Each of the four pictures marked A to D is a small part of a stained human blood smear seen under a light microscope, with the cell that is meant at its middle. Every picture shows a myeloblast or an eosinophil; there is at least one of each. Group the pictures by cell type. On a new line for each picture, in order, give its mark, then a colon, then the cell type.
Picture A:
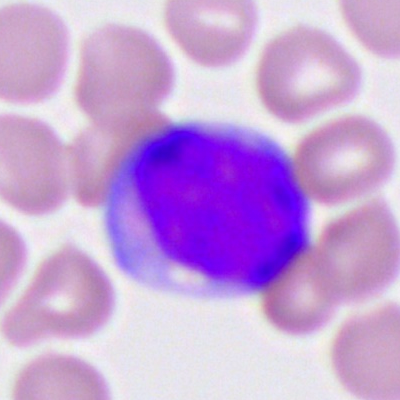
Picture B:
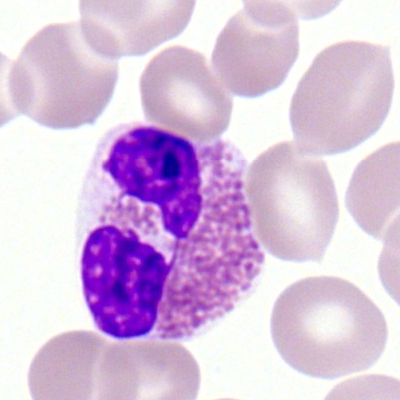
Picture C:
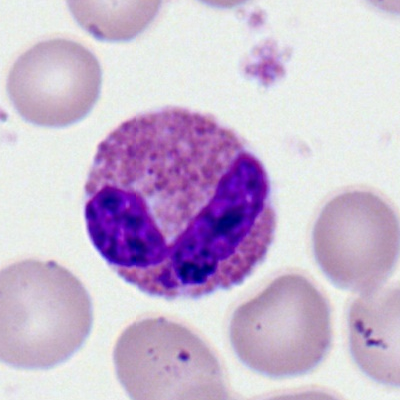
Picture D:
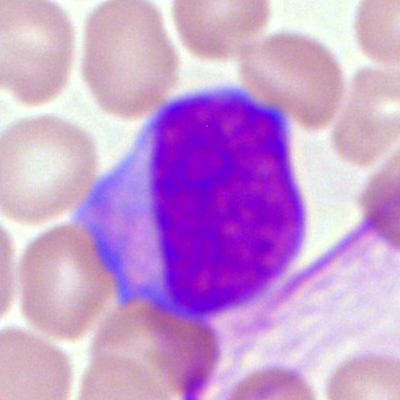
A: myeloblast
B: eosinophil
C: eosinophil
D: myeloblast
